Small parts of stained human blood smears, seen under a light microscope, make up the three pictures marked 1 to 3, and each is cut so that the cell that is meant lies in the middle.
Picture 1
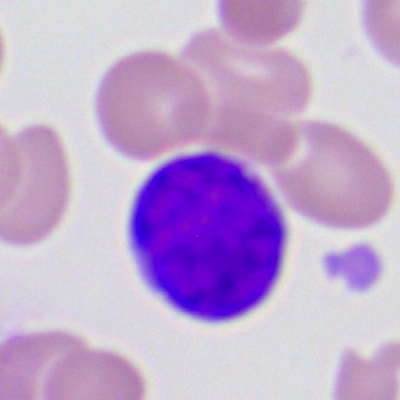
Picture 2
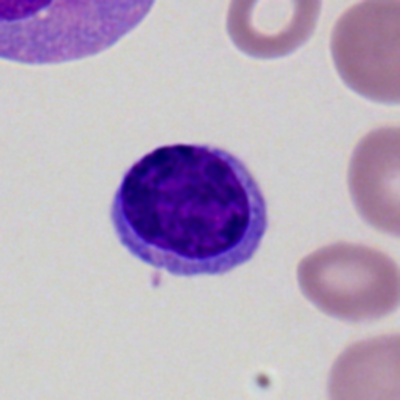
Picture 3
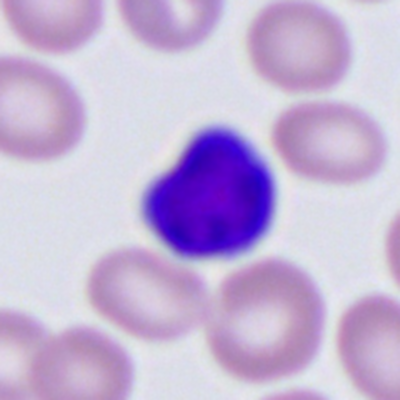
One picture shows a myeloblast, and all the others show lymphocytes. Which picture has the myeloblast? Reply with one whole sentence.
Picture 1 is the one that shows the myeloblast.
